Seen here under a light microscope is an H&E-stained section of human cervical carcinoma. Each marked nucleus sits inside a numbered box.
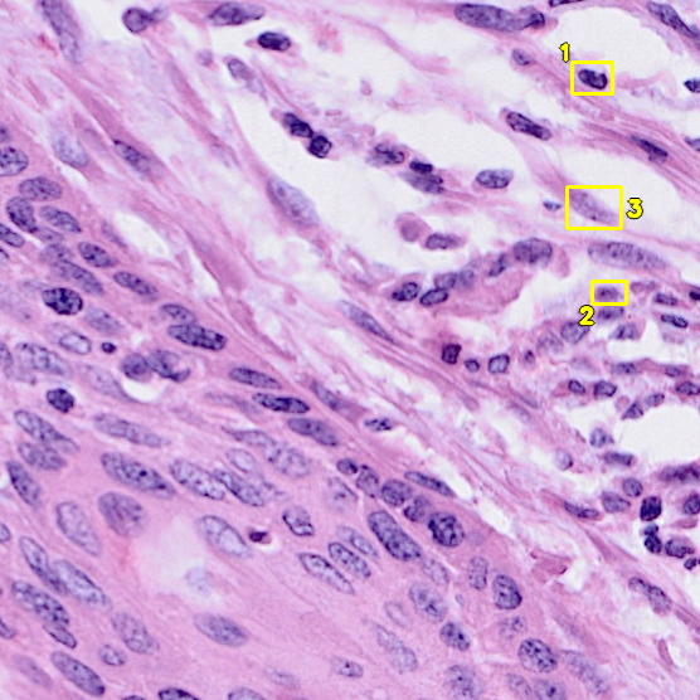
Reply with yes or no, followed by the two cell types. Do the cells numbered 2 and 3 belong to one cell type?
Yes, both are fibroblasts.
